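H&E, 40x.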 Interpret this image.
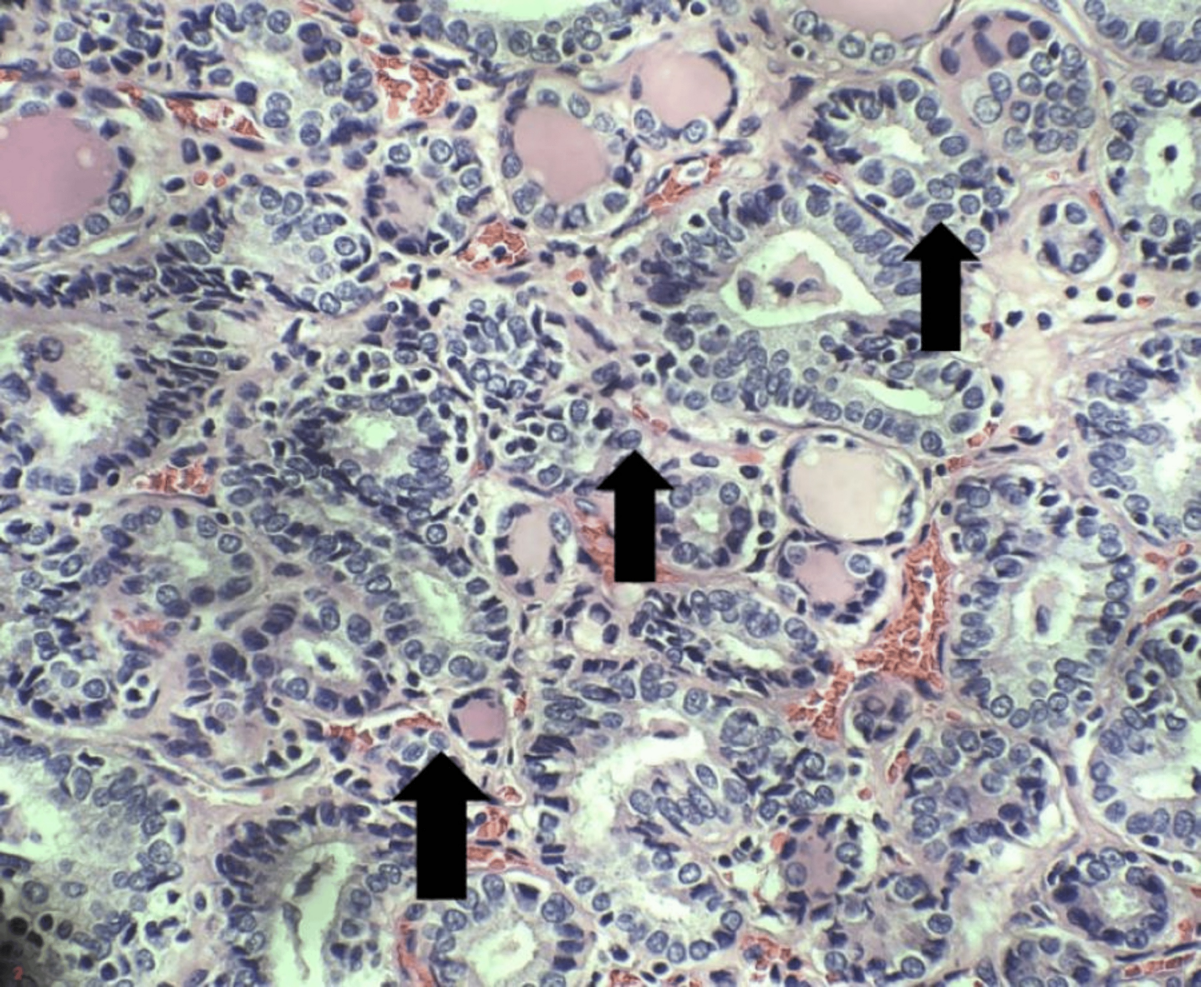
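This is an epithelial tissue built of many small follicles, some holding pale pink colloid-like material and others nearly empty, each lined by cuboidal epithelial cells. Thin strands of stroma with red blood cells in narrow vessels run between the follicles.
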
